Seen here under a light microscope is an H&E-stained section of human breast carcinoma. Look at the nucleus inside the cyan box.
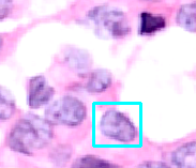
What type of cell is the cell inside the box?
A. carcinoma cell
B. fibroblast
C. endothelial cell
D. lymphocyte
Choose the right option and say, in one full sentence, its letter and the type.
Option A names the cell inside the box correctly as a carcinoma cell.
